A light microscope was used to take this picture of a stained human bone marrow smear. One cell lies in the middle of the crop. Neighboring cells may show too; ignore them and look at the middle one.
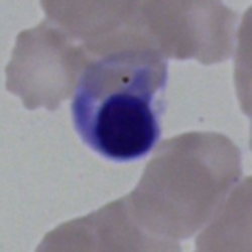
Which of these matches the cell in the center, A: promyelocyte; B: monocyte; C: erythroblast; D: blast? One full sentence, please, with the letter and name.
The cell at the centre is an erythroblast, and option C accordingly is correct.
